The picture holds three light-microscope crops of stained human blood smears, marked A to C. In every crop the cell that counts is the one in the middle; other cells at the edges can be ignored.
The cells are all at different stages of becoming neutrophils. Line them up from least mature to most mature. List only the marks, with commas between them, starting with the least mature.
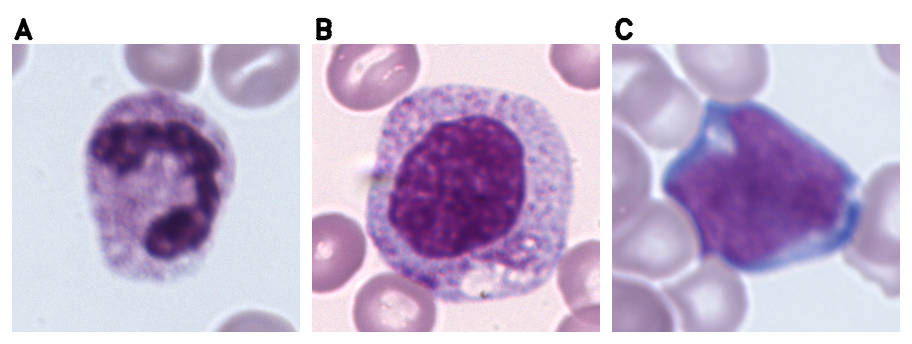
C, B, A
